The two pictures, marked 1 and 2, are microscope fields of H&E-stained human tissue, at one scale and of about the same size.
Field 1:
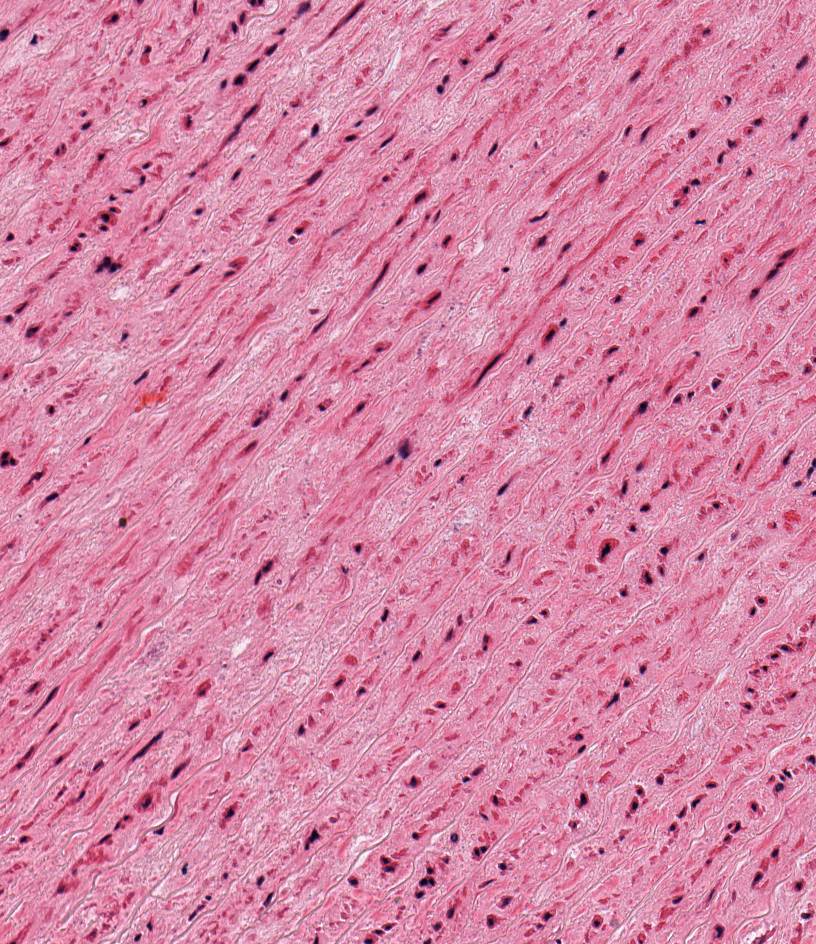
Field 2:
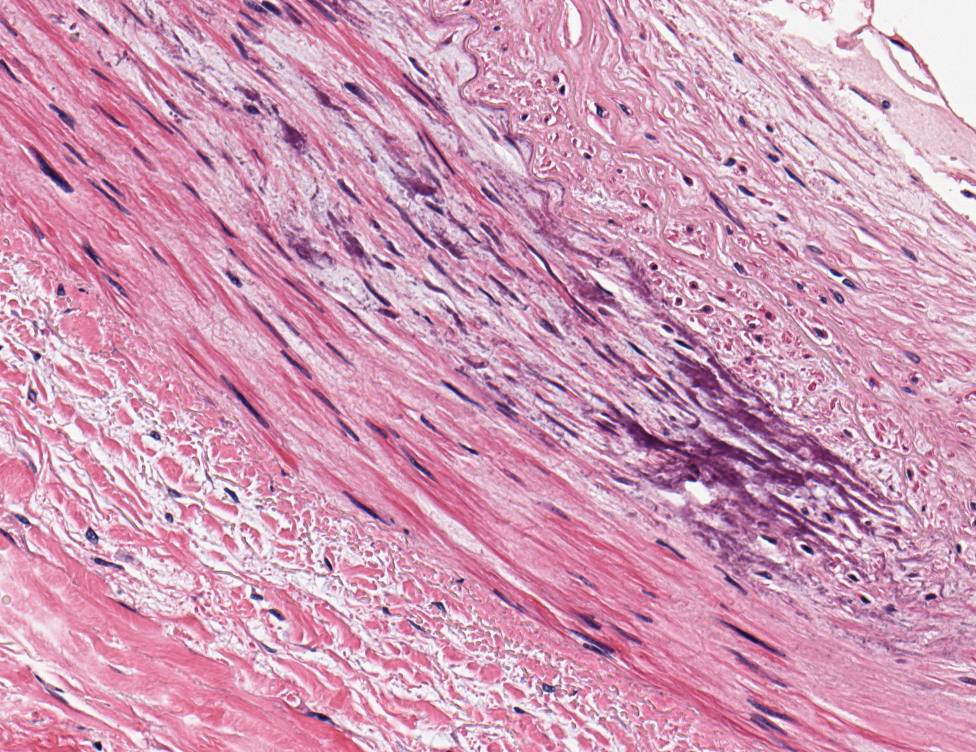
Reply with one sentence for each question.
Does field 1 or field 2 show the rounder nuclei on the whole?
On the whole the nuclei of field 1 are rounder than those of field 2.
